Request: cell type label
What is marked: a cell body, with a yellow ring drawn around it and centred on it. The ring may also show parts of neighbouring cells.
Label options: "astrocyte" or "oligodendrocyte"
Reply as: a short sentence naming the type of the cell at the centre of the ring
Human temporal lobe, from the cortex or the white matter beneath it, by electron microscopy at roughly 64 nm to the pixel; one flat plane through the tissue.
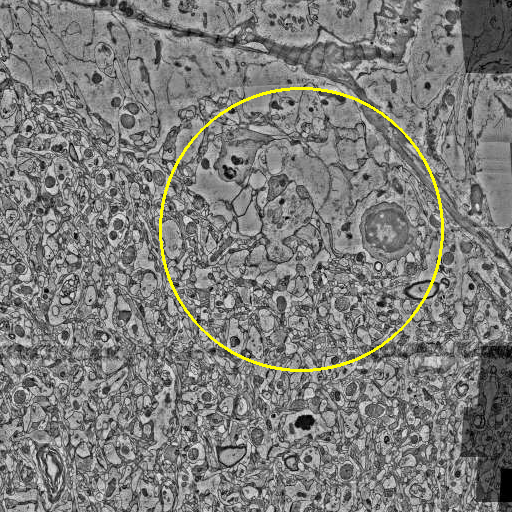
The marked cell body is that of an oligodendrocyte.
